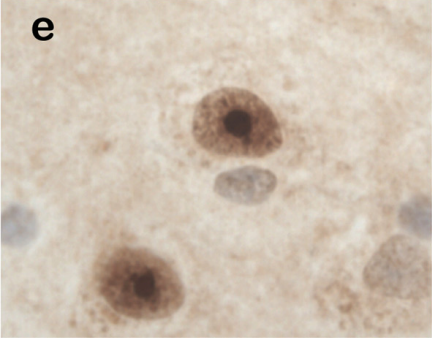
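These are neurones with intranuclear inclusions, seen at very high magnification. The cytoplasm around them is pale, with a faint brown granular tinge. Beside the upper neurone lies a smaller oval nucleus stained only blue, without any brown body, and another pale blue nucleus lies at the right edge. The background neuropil is pale with fine scattered brown specks.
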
